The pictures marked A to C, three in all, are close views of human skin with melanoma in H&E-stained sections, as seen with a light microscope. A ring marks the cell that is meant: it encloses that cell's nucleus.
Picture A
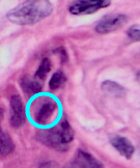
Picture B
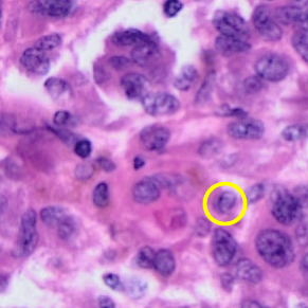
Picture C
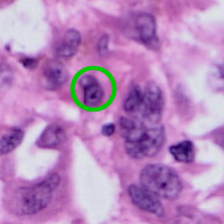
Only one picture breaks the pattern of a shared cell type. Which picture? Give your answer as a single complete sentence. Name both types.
The different one is picture A; it shows a keratinocyte, whereas all the others show “macrophages or monocytes”.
